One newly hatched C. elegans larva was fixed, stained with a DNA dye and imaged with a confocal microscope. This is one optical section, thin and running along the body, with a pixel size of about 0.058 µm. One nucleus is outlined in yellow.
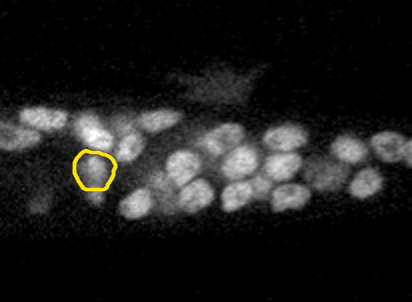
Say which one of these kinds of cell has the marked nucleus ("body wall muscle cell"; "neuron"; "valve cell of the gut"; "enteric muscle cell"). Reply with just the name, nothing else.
valve cell of the gut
